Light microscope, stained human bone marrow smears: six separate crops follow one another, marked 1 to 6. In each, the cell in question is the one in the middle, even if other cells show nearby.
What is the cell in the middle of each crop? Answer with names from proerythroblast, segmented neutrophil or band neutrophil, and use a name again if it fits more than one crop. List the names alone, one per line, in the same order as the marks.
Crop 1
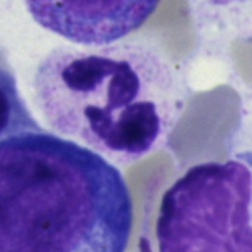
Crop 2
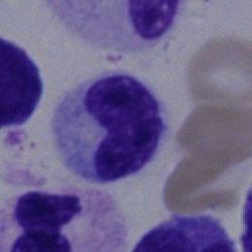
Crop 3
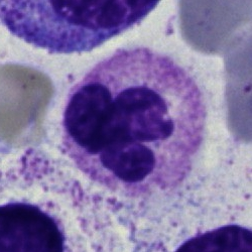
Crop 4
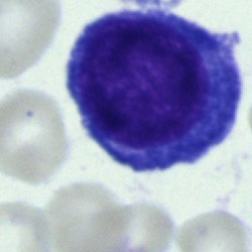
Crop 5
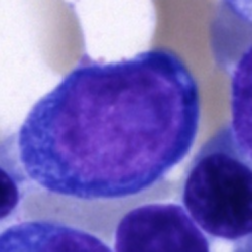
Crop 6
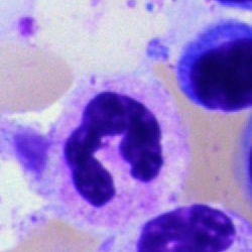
segmented neutrophil
band neutrophil
band neutrophil
proerythroblast
proerythroblast
segmented neutrophil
